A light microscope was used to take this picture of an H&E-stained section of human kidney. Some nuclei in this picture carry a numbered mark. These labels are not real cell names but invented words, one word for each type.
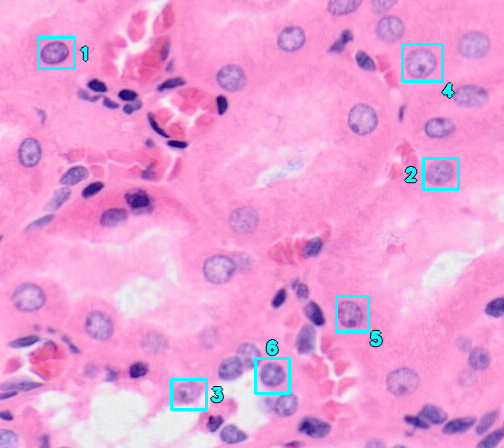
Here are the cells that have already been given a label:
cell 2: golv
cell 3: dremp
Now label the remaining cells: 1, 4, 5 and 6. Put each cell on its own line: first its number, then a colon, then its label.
1: golv
4: golv
5: golv
6: dremp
